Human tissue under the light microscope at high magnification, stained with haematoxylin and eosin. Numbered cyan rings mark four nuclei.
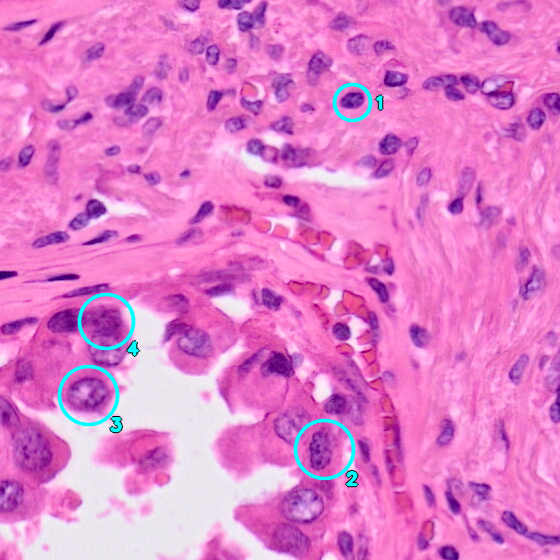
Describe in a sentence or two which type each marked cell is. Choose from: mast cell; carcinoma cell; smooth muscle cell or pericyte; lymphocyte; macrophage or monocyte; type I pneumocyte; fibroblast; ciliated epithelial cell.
Cell 1 is a lymphocyte, cell 2 is a carcinoma cell, cell 3 is a carcinoma cell and cell 4 is a carcinoma cell.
